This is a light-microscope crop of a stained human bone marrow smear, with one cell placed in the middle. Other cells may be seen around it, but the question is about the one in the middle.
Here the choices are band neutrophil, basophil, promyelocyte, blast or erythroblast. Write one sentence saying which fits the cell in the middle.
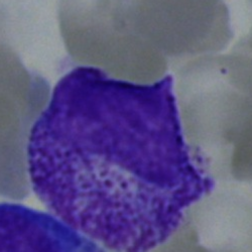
To answer, the cell in the center of the crop is a promyelocyte.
